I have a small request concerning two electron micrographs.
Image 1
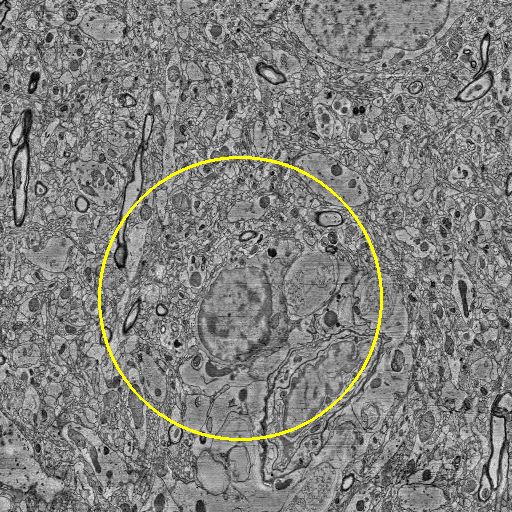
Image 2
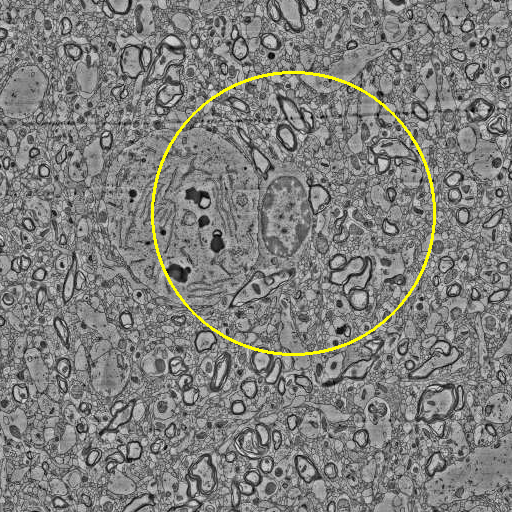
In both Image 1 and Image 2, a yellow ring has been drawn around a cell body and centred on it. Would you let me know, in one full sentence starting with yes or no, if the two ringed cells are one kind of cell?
Yes, the cells ringed in Image 1 and Image 2 are one kind of cell.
